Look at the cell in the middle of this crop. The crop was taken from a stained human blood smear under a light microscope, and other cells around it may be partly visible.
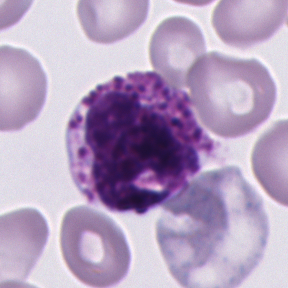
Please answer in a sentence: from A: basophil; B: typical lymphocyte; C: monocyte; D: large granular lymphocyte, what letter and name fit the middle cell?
Well, the cell in the middle is a basophil, making option A right.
